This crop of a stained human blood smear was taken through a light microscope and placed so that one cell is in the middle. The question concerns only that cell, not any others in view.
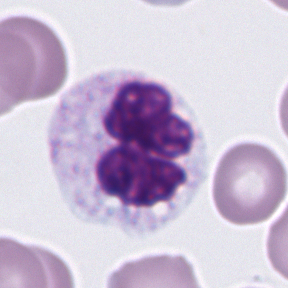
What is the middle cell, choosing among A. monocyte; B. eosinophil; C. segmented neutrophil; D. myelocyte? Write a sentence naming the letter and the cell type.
In this crop the central cell is a segmented neutrophil, which option C correctly states.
